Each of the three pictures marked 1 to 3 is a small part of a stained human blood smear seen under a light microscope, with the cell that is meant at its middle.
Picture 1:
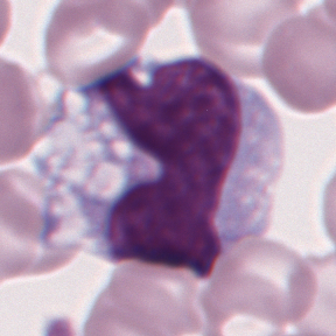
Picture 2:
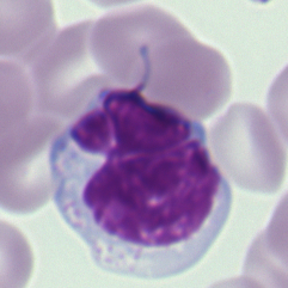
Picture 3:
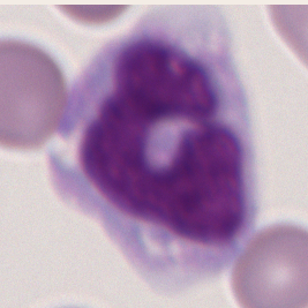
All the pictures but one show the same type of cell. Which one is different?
2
